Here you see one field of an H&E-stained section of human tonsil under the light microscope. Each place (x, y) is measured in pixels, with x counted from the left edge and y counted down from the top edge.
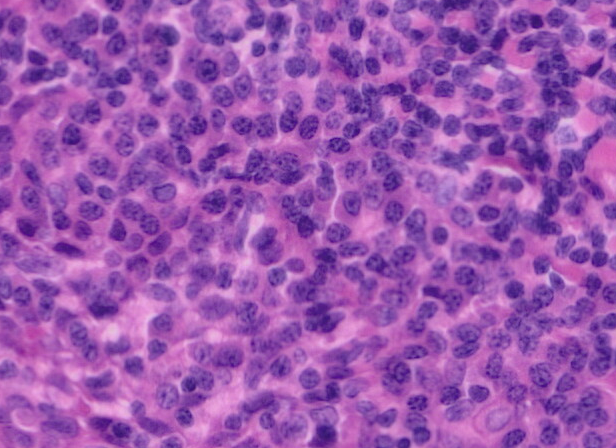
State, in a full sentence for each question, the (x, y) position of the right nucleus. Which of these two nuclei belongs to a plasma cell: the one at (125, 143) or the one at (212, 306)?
Of the two nuclei, it is the one at (125, 143) that lies within a plasma cell.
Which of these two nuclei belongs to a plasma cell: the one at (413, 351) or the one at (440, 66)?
The nucleus at (413, 351) is housed in a plasma cell.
